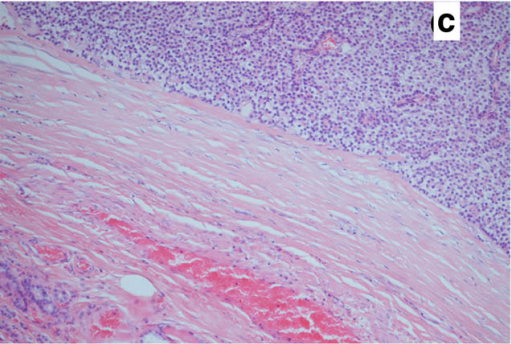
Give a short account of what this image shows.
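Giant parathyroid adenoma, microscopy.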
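The upper right is filled by a dense, solid sheet of adenomatous cells. They are small and closely packed, each with a round, dark purple nucleus and a little pale cytoplasm. They look much alike in size and shape, with no obvious variation among them. A broad band of pink, wavy fibrous tissue runs diagonally across the field and bounds this sheet like a capsule. Within and beneath this band lies a vessel packed with red blood cells. The band separates the cell sheet from tissue at the lower left. Taken together, the picture is that of a compact, encapsulated cellular tumour pressing against its surroundings.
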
